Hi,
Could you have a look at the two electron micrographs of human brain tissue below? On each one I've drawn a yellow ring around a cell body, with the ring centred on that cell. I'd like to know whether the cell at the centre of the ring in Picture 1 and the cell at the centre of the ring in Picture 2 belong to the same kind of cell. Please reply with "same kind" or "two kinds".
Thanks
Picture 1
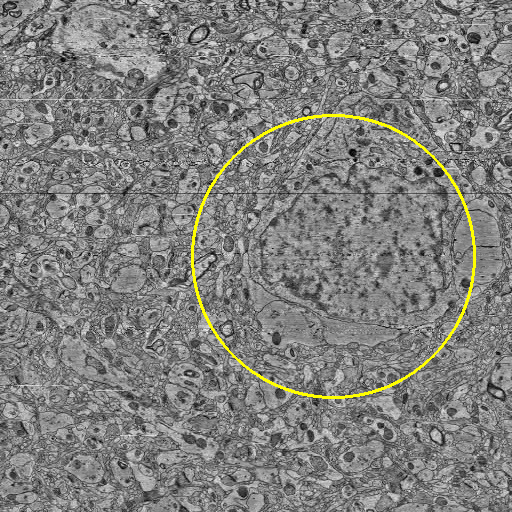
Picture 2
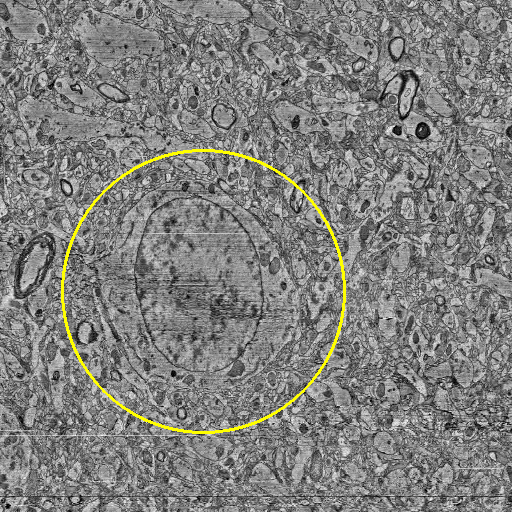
two kinds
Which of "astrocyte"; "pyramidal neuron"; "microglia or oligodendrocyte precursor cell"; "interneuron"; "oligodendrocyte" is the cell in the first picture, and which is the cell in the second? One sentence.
The two differ: the first cell is an interneuron and the second is a pyramidal neuron.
